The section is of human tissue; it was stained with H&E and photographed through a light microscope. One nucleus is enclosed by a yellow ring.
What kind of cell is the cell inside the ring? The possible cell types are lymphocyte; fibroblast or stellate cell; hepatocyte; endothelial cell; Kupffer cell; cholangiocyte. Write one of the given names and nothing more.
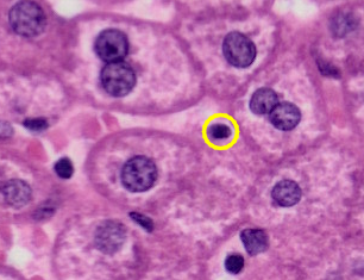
lymphocyte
